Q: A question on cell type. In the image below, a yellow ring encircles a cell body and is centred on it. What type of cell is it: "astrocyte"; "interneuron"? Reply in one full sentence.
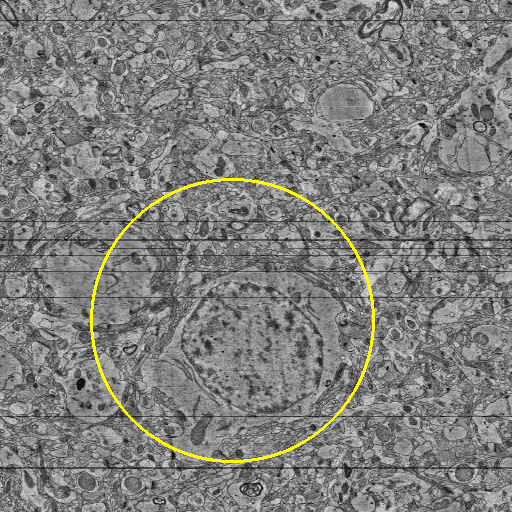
It is an astrocyte whose cell body sits at the centre of the yellow ring in the image.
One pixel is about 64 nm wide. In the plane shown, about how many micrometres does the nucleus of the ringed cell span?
In this plane the nucleus measures roughly 9 by 8 micrometres.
